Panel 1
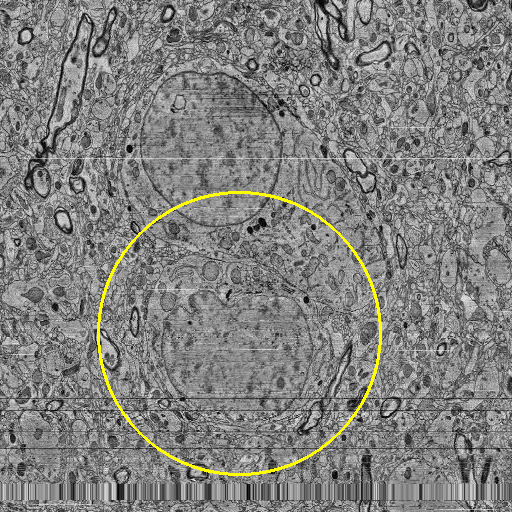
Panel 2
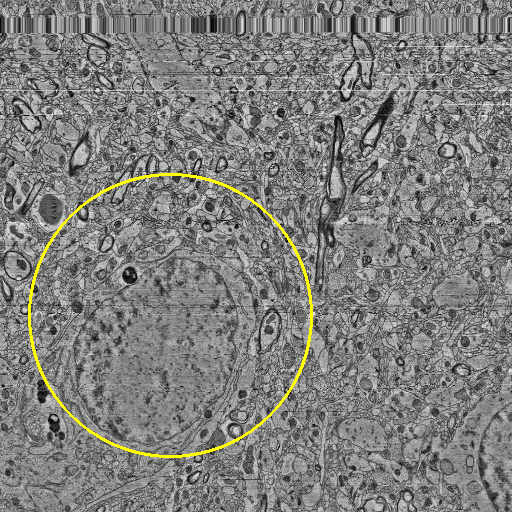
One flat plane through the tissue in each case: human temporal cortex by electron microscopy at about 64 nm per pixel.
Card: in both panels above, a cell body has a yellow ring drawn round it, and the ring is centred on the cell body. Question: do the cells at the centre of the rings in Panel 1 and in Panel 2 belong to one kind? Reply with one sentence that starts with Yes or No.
Yes, the cells centred in the rings of Panel 1 and Panel 2 are one kind of cell.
